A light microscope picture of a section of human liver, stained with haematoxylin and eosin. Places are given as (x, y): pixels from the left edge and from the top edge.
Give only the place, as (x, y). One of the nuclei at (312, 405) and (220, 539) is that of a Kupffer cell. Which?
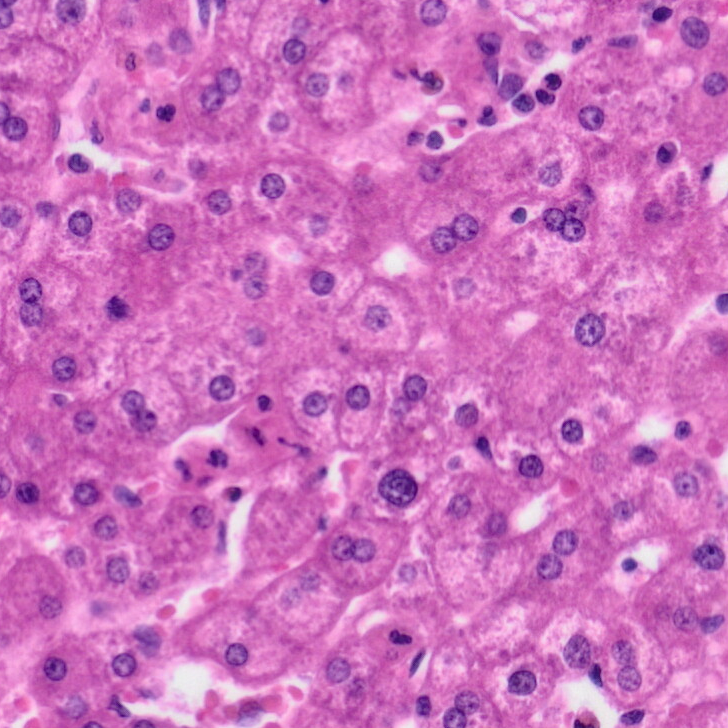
(220, 539)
